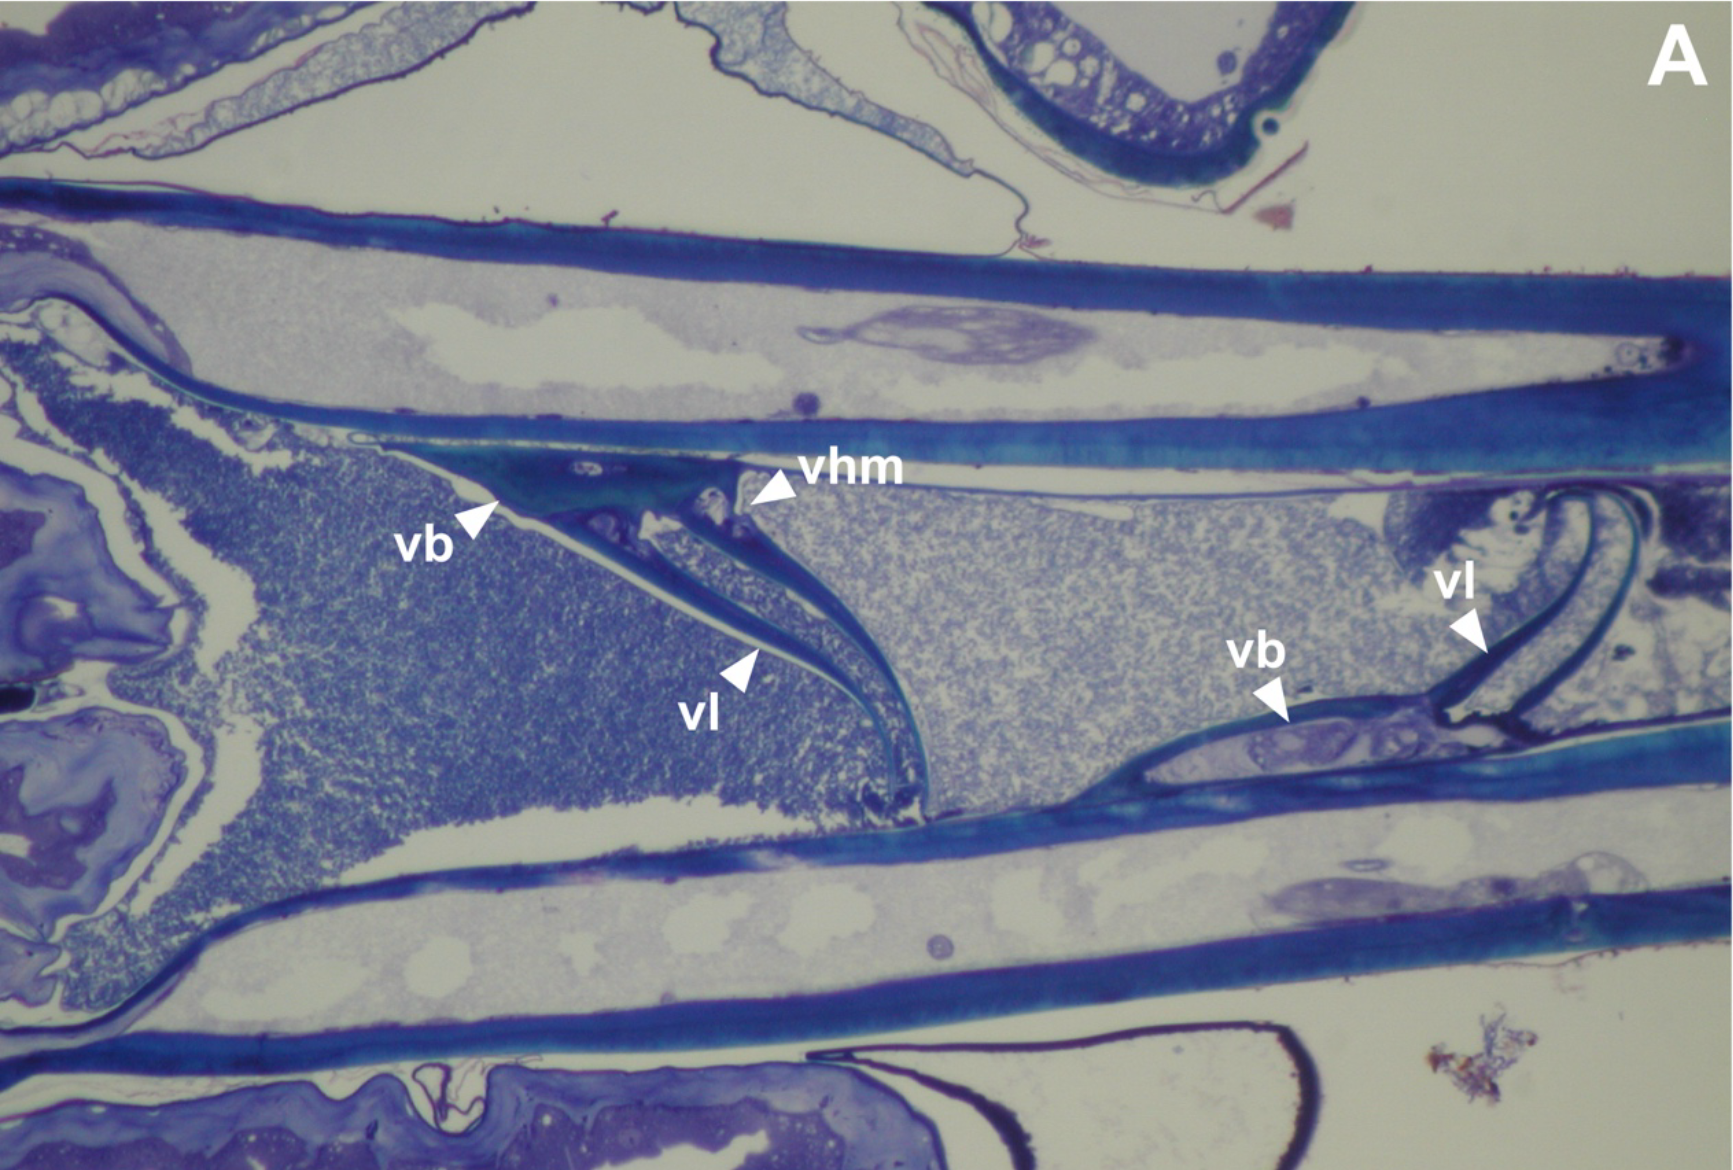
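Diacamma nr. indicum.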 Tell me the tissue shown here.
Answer: Stinger.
